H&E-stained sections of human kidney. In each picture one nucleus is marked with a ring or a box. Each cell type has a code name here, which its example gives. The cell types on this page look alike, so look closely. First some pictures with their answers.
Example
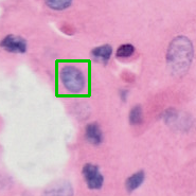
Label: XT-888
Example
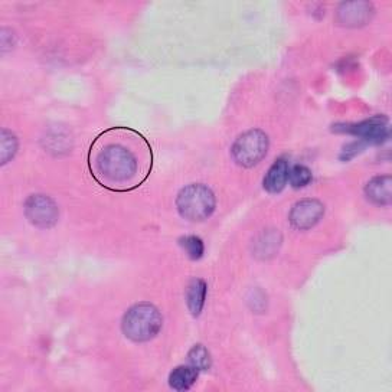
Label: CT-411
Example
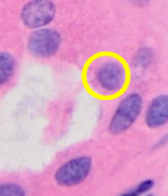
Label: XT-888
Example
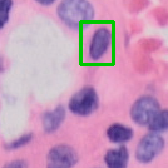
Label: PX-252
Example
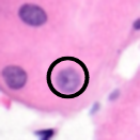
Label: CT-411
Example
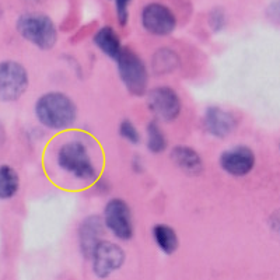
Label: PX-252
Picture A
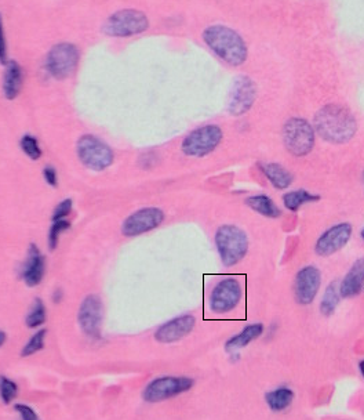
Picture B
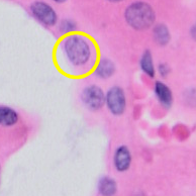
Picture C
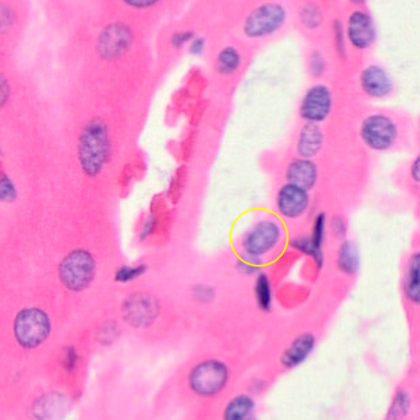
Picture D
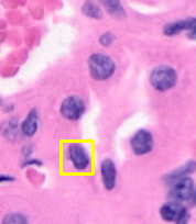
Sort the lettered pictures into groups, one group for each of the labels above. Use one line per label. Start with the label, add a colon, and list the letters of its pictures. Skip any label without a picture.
XT-888: A, D
PX-252: B, C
